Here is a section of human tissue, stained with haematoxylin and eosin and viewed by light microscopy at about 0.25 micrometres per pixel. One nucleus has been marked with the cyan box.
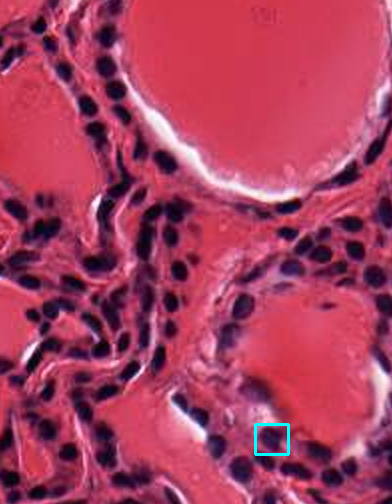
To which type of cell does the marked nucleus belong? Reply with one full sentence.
The nucleus carrying the mark is the nucleus of a thyroid follicular cell.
